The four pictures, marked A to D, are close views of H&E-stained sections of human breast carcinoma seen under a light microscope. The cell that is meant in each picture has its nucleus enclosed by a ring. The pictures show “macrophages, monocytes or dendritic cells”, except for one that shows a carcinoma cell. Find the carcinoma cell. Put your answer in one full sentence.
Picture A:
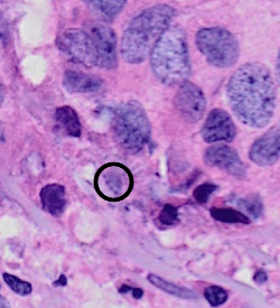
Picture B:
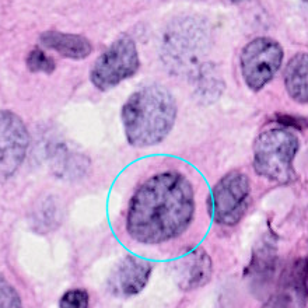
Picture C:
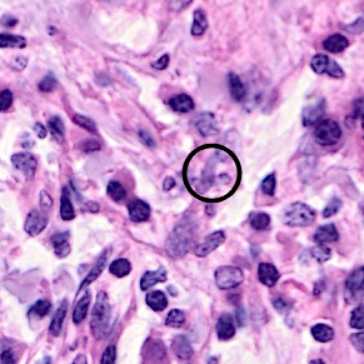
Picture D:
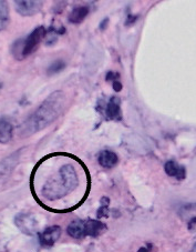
The cell in picture B is the carcinoma cell.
